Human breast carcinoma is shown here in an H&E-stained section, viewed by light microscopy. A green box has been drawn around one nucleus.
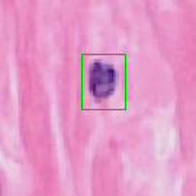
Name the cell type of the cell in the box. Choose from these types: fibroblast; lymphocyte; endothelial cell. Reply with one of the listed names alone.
lymphocyte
